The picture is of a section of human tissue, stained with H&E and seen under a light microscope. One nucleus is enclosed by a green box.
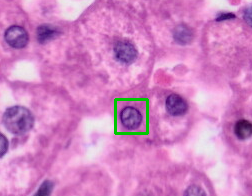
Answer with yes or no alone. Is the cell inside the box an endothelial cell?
no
